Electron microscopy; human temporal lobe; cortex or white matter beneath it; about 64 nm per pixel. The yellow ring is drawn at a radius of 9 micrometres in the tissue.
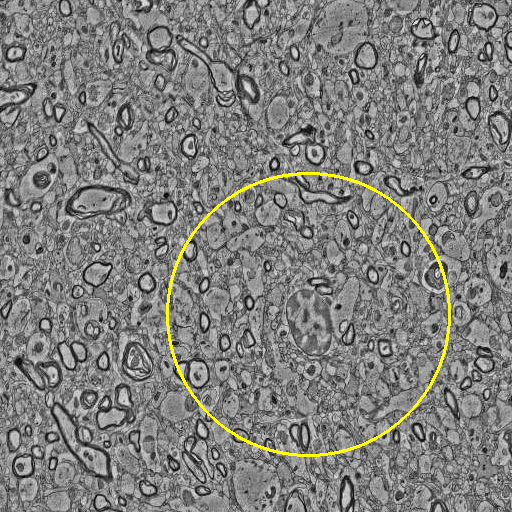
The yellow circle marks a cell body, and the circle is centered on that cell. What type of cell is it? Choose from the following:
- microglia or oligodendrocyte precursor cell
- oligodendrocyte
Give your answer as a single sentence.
This cell body belongs to a microglial cell or oligodendrocyte precursor cell.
